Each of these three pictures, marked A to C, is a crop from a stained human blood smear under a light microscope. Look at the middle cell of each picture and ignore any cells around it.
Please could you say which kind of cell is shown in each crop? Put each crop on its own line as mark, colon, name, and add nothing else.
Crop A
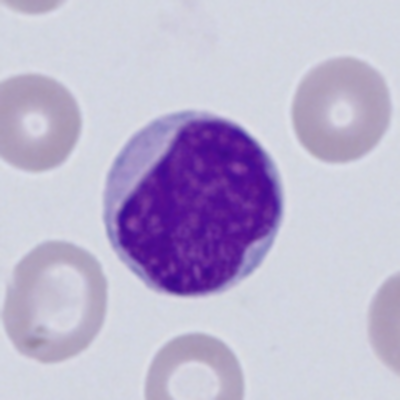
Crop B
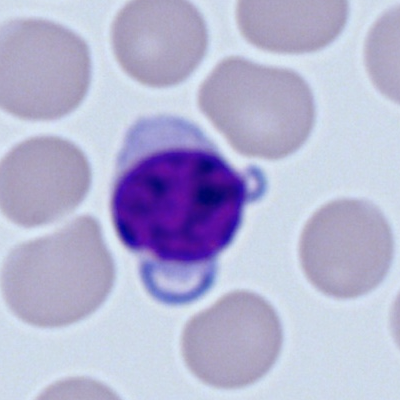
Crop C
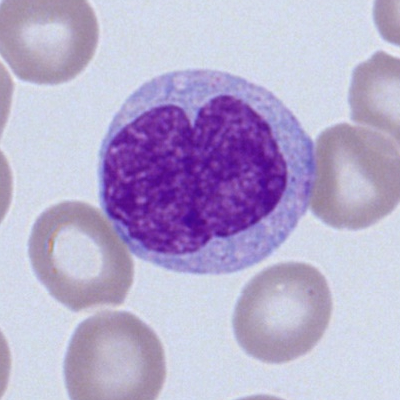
A: myeloblast
B: lymphocyte
C: monocyte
